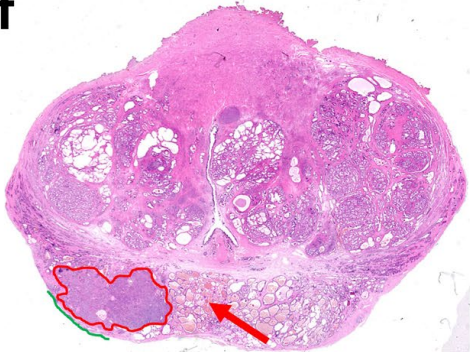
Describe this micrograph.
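A whole-mount cross-section of the prostate shows a pink fibromuscular stroma enclosing glandular tissue. In the upper and central parts, rounded nodules contain many glands of varied size, some widely dilated and cystic, and a slit-like lumen runs vertically in the midline. Along the posterior rim lies a crescent-shaped band of smaller, rounded glands. Within this posterior band, toward one side, a compact, well-delimited focus of densely packed, darker purple tissue replaces the open glandular pattern, standing out clearly from the paler surrounding glands. This focus stays within the outer edge of the section, with a thin strip of tissue still lying outside it.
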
